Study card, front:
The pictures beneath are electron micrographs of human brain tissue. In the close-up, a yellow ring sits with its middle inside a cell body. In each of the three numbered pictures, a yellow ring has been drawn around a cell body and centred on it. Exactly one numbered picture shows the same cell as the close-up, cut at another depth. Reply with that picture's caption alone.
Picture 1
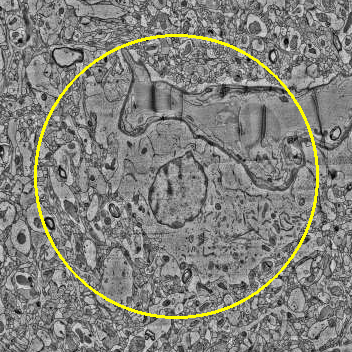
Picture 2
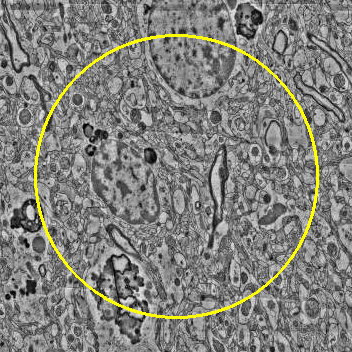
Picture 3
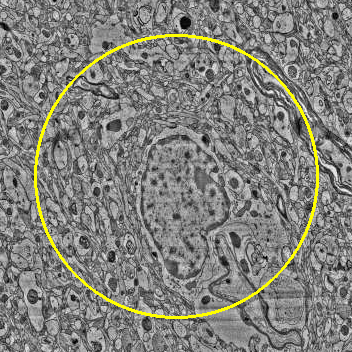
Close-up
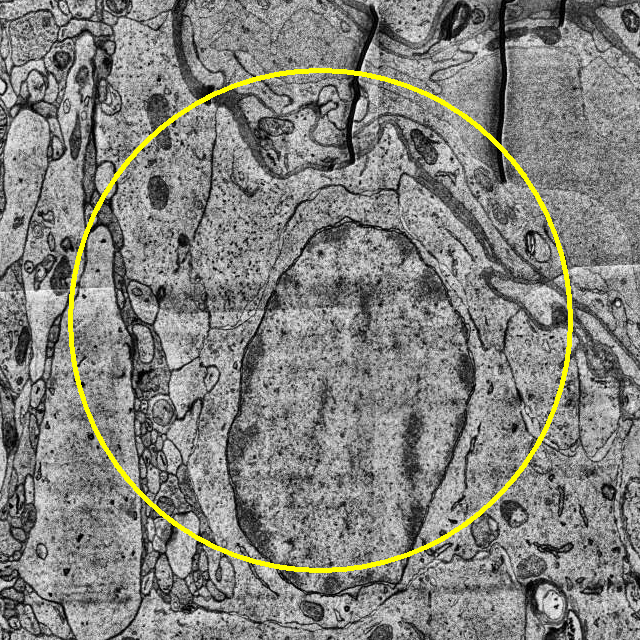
Picture 1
